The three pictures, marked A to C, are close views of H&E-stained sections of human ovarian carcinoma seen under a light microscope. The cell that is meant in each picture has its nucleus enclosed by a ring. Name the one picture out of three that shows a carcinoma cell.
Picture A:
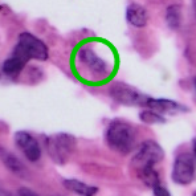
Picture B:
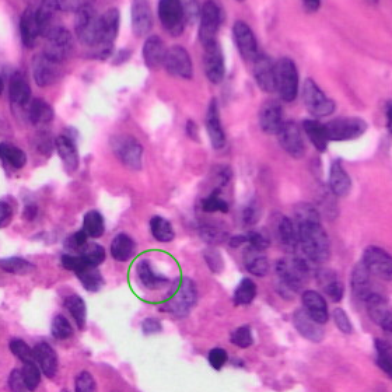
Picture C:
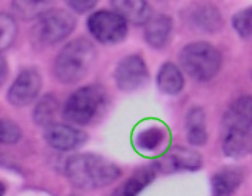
C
